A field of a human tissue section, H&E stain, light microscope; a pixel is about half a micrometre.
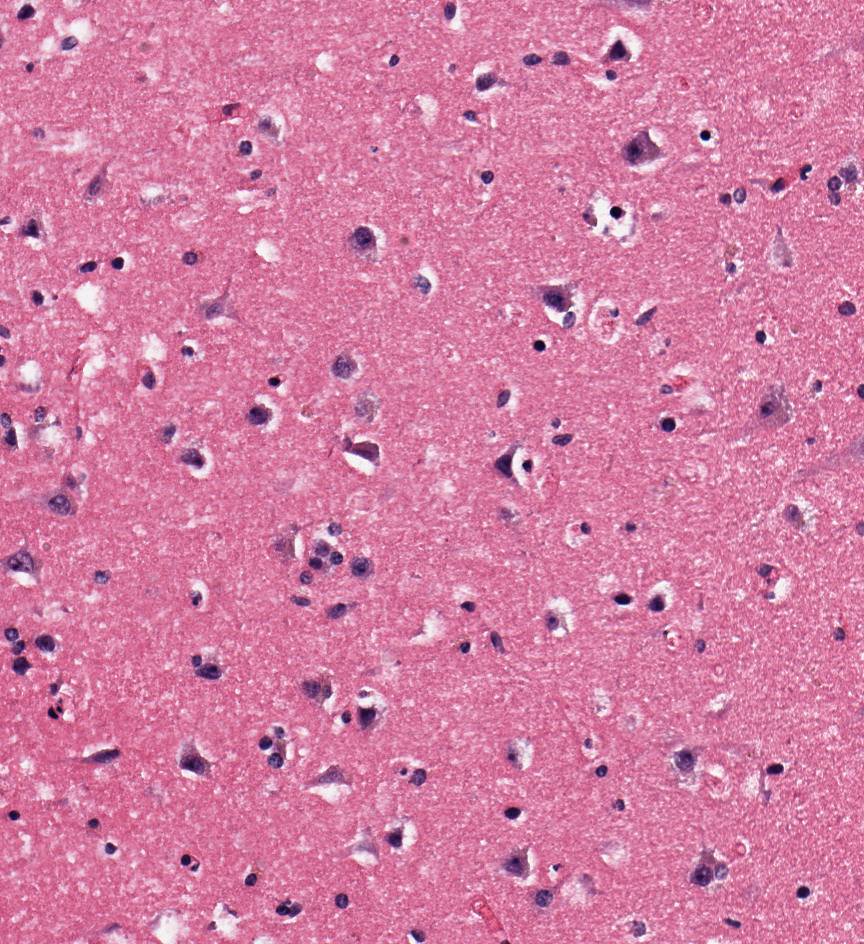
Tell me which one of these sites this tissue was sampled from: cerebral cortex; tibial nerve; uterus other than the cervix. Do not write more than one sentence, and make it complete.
It is from the cerebral cortex that this section was cut.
